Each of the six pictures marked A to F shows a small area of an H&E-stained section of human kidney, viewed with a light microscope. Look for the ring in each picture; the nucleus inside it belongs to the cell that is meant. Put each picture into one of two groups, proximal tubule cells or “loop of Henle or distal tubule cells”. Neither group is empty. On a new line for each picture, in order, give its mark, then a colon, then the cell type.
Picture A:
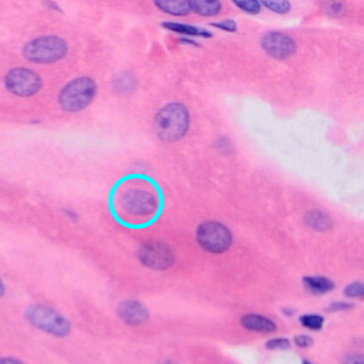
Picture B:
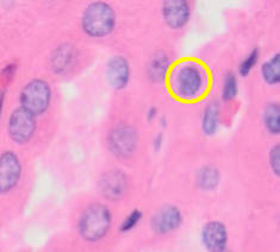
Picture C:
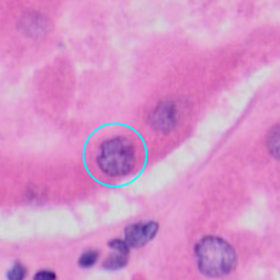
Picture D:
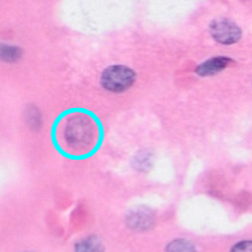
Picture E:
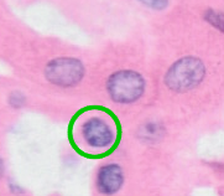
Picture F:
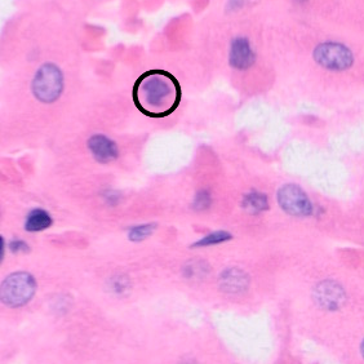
A: proximal tubule cell
B: loop of Henle or distal tubule cell
C: proximal tubule cell
D: proximal tubule cell
E: loop of Henle or distal tubule cell
F: proximal tubule cell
